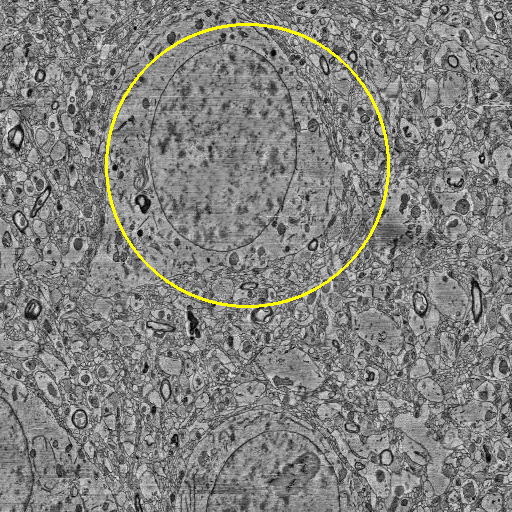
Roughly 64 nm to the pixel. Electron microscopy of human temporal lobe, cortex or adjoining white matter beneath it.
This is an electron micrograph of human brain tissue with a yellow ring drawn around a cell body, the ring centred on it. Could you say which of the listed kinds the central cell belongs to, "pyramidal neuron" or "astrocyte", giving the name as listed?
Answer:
pyramidal neuron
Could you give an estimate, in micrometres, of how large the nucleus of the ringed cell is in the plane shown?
Approximately 14 by 10 micrometers in this plane.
